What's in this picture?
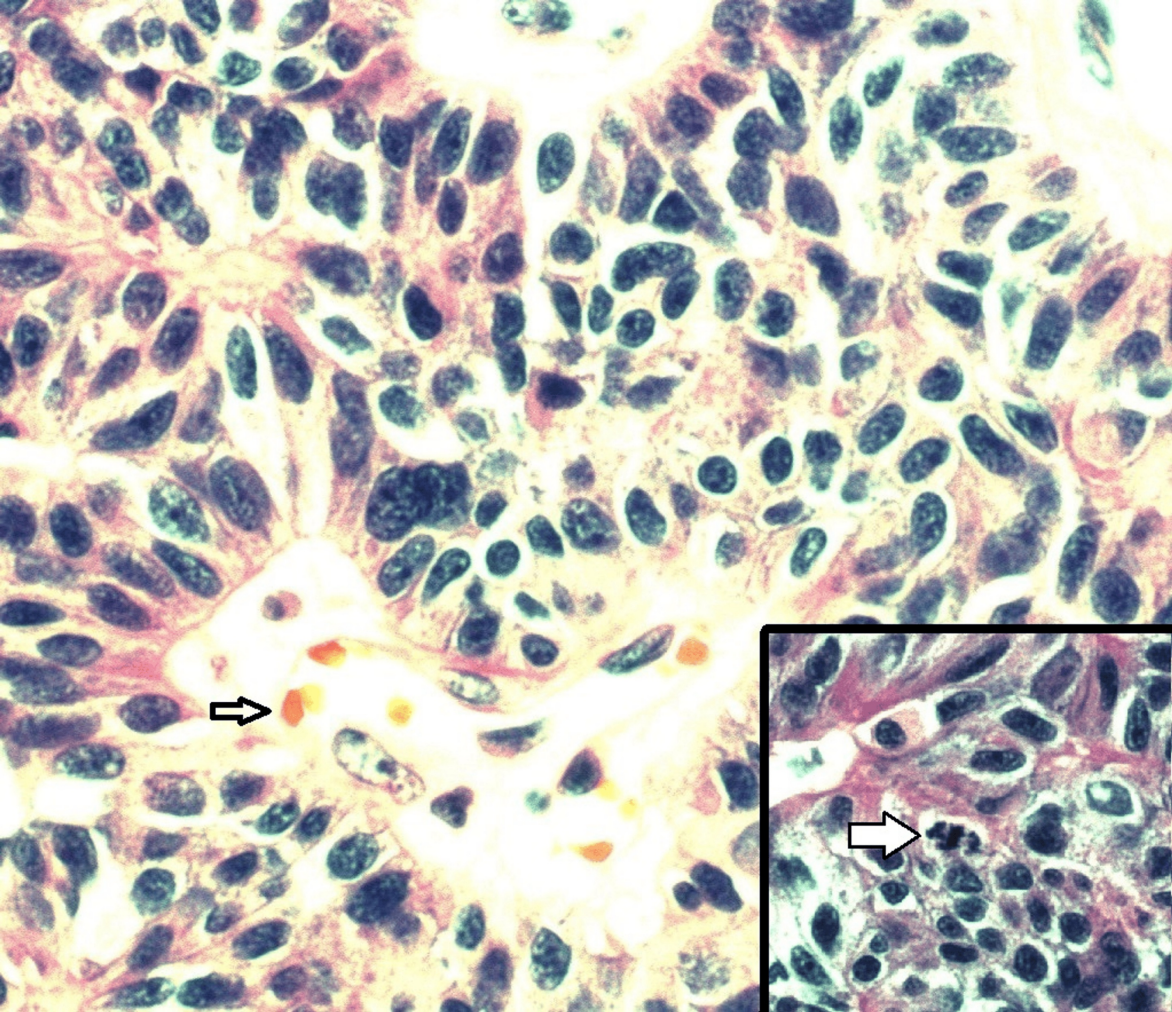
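Pleomorphic tumor cells are densely packed in trabeculae and solid sheets, with some cells taking an elongated, spindle shape. The nuclei are large, round to oval or elongated, with finely granular chromatin, and they vary clearly in size and darkness. The cytoplasm is pale pink and poorly bordered. In places the cells line up in palisades around narrow pale spaces, and red blood cells lie in one of these spaces. They are small, orange and without a nucleus, far smaller than the tumor nuclei. An inset shows a dividing cell with clumped, irregular dark chromosomes.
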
